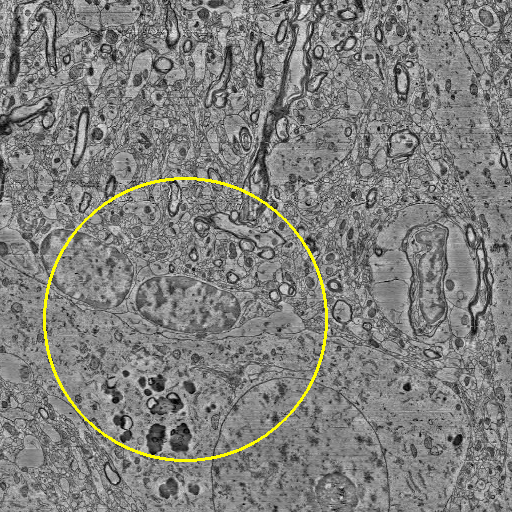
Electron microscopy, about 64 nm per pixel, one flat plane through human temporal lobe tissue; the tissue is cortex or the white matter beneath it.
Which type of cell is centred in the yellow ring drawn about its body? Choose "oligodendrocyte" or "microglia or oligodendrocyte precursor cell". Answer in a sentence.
The yellow ring surrounds the cell body of a microglial cell or oligodendrocyte precursor cell.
